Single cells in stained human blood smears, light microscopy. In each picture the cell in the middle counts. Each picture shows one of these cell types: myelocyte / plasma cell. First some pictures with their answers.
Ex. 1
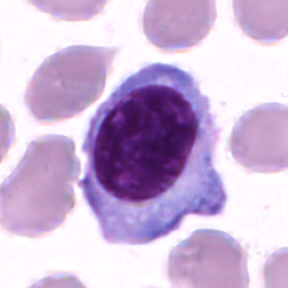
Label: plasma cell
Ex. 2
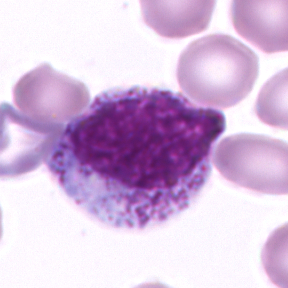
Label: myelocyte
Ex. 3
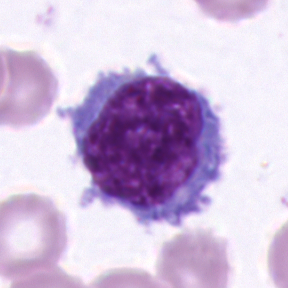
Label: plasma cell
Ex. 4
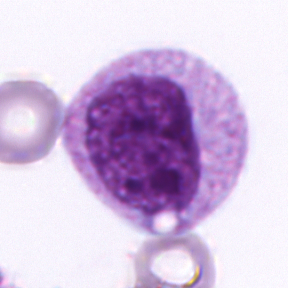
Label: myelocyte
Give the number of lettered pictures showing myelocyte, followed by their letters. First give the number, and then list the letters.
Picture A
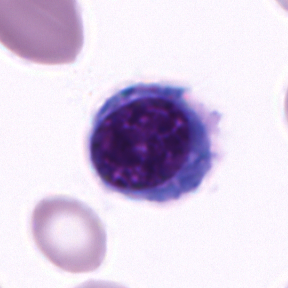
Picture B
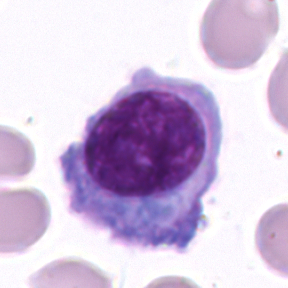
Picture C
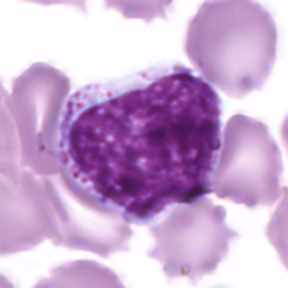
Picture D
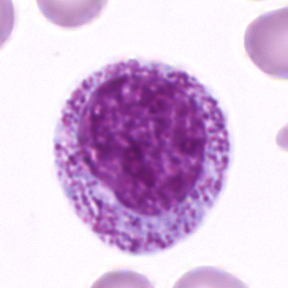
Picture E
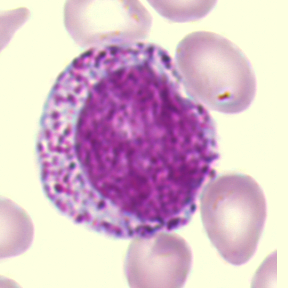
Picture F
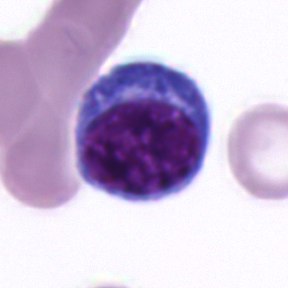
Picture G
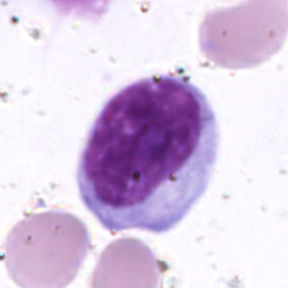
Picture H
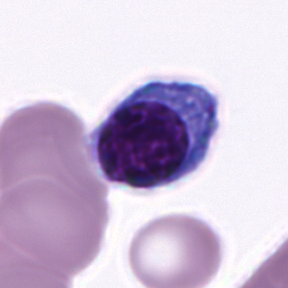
3: C, D, E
